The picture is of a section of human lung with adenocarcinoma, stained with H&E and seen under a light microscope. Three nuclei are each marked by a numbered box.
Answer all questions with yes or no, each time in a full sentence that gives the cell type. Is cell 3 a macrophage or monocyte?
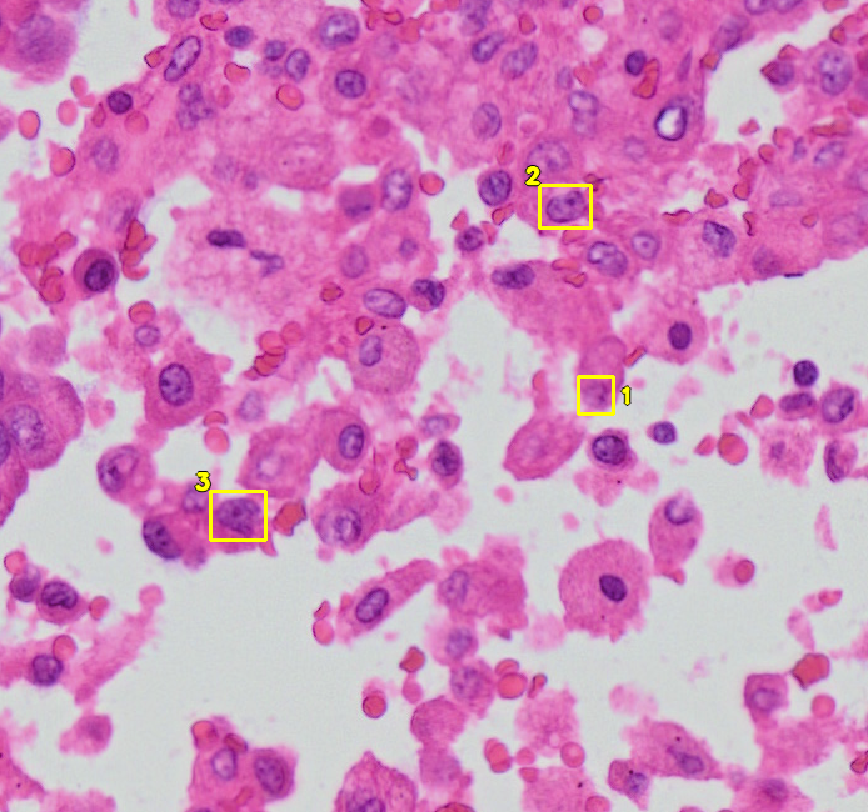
No, cell 3 is not a macrophage or monocyte. It is a carcinoma cell.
